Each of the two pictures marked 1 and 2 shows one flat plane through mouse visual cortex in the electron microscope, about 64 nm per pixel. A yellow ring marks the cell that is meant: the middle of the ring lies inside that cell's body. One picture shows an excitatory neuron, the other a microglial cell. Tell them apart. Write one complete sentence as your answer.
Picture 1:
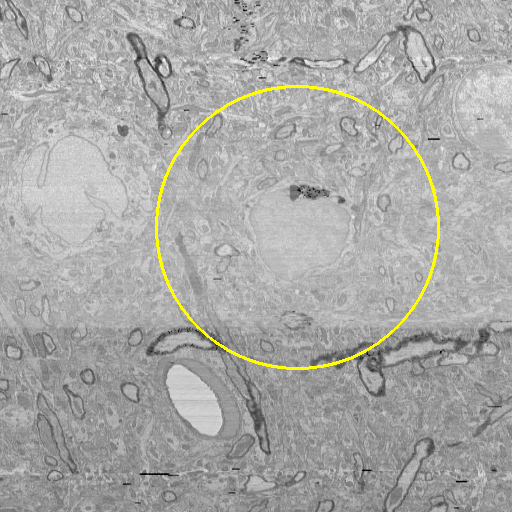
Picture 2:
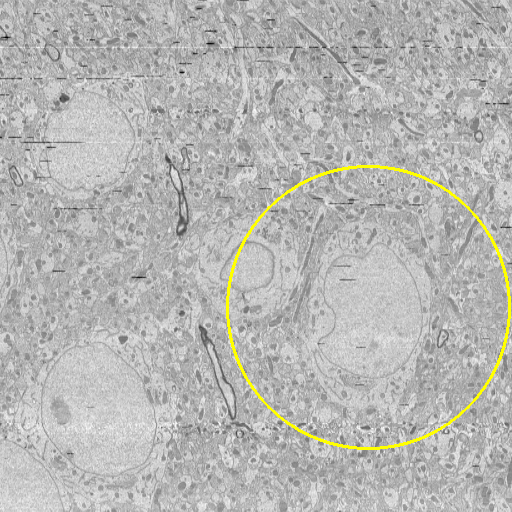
It is picture 1 that shows a microglial cell, and picture 2 that shows an excitatory neuron.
